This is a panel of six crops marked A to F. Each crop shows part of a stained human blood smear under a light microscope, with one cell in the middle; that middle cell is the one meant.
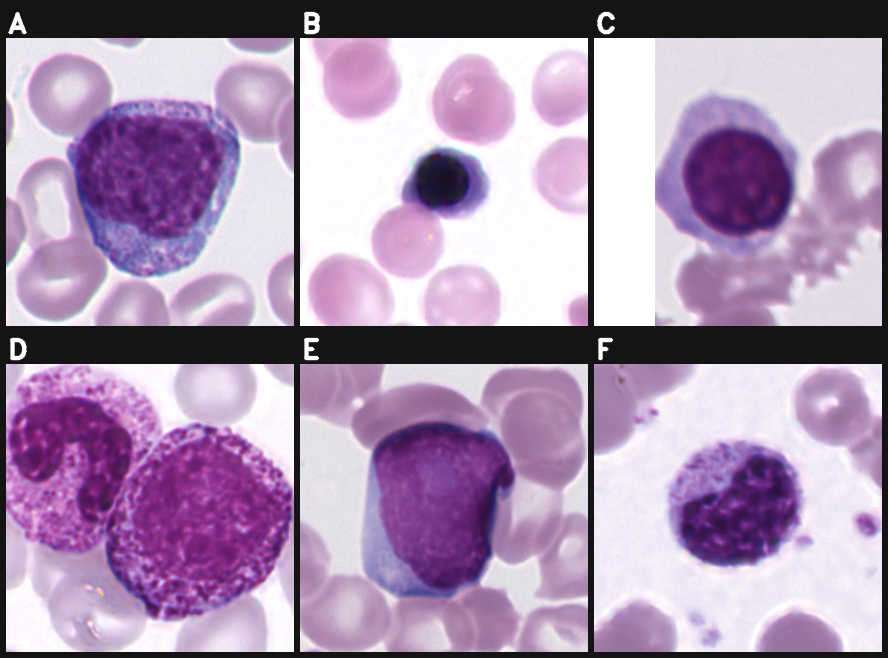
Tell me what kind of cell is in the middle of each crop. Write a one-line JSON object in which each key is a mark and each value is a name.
{"A": "promyelocyte", "B": "erythroblast", "C": "hairy cell", "D": "promyelocyte", "E": "myeloblast", "F": "metamyelocyte"}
